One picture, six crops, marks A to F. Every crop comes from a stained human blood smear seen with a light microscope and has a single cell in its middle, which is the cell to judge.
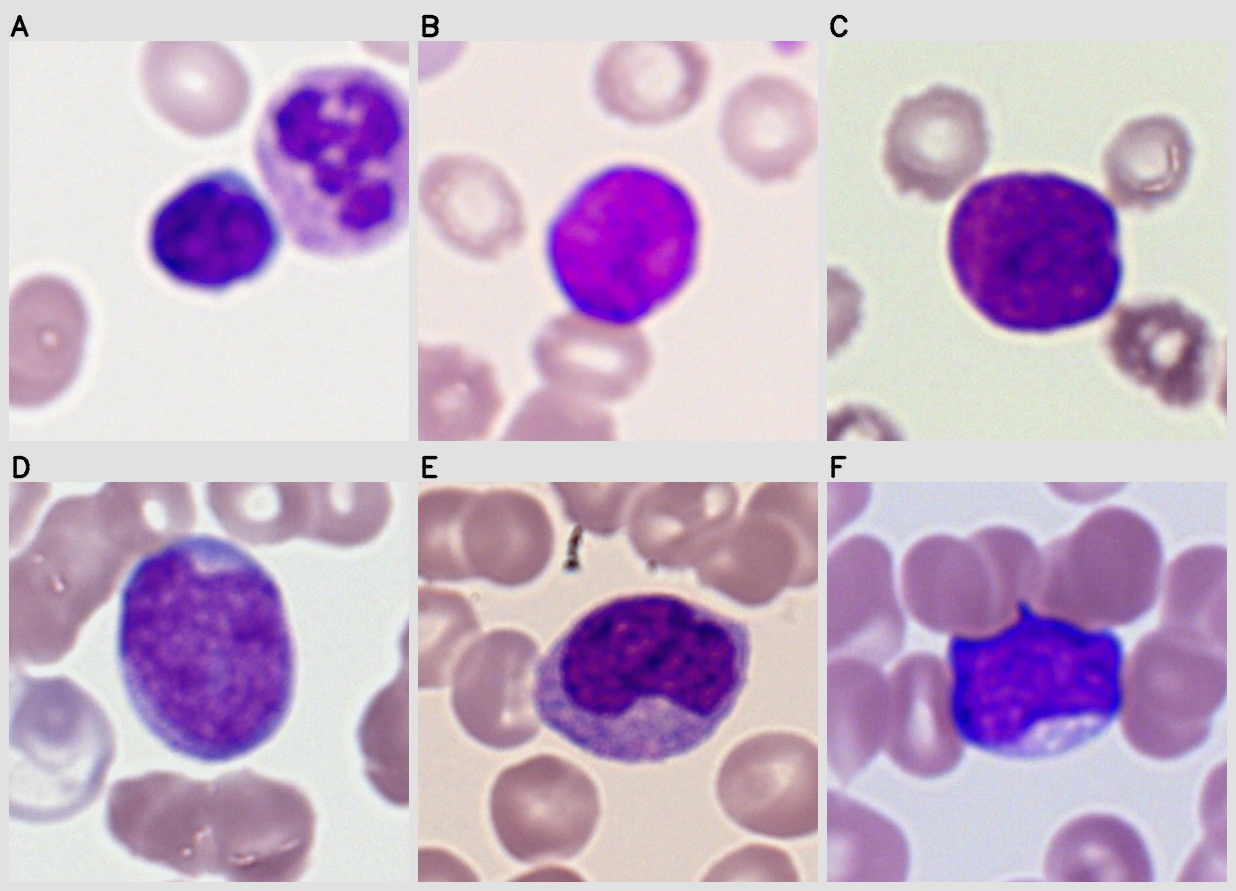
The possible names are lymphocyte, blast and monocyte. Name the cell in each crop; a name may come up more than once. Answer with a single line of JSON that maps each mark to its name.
{"A": "lymphocyte", "B": "blast", "C": "blast", "D": "blast", "E": "monocyte", "F": "lymphocyte"}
